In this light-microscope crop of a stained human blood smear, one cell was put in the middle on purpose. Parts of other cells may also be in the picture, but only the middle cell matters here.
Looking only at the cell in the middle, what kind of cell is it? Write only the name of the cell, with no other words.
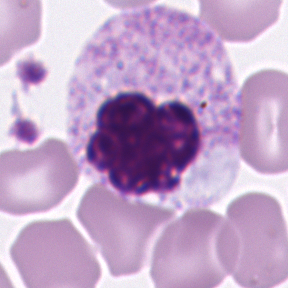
neutrophil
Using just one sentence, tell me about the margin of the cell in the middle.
The membrane contour is even and smooth, with nothing projecting from it.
